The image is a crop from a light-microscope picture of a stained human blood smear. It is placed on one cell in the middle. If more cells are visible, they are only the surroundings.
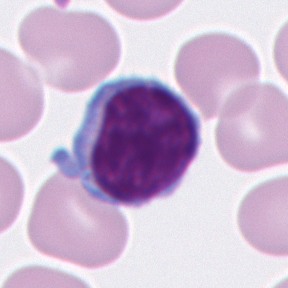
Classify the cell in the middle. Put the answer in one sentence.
The cell at the central position in this crop is a typical lymphocyte.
